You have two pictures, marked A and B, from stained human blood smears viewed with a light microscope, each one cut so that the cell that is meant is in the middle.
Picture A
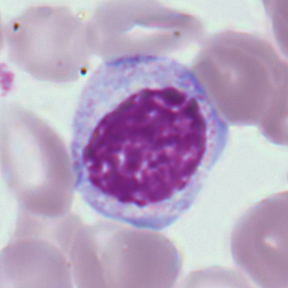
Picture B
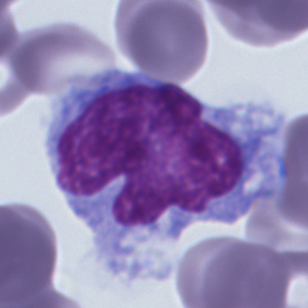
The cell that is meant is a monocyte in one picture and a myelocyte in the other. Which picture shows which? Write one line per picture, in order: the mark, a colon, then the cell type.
A: myelocyte
B: monocyte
